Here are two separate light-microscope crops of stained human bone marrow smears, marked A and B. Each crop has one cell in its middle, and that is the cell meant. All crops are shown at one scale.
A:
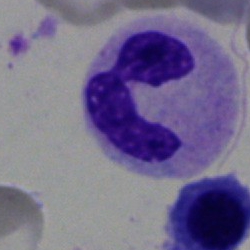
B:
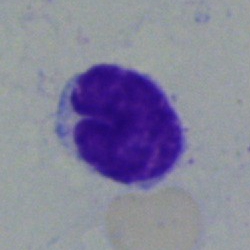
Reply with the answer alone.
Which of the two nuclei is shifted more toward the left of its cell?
A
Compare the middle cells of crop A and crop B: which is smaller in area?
B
